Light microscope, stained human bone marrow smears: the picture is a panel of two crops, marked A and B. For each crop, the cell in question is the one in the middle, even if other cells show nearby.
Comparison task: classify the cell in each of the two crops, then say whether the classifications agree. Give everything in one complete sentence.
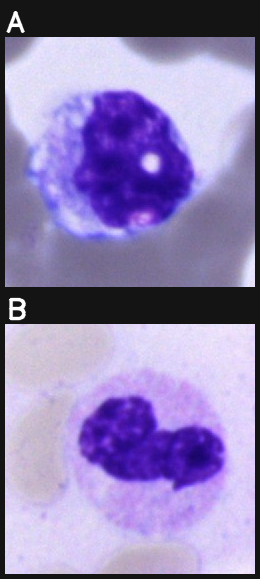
No, the cell shown in crop A is a monocyte, and the cell shown in crop B is a segmented neutrophil.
